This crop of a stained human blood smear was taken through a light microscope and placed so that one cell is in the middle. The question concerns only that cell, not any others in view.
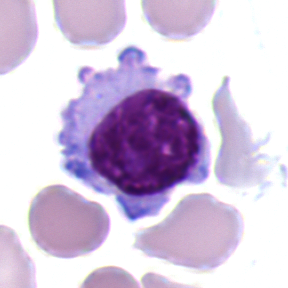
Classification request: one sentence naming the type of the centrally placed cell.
The middle position in this crop is taken by a plasma cell.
